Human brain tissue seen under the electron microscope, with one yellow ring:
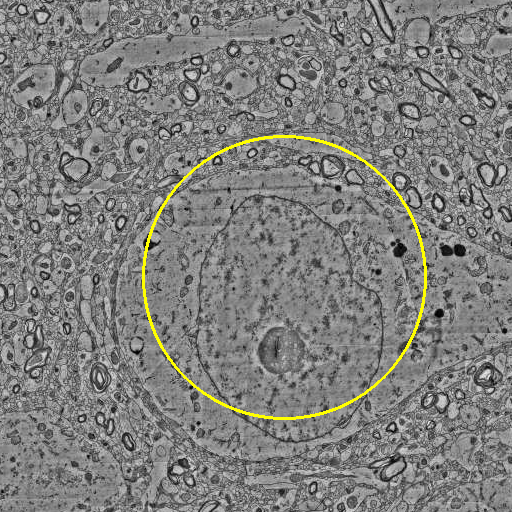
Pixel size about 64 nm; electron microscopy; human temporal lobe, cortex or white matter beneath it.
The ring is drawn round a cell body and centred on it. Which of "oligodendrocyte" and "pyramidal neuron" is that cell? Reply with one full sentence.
The picture shows a pyramidal neuron at the very centre of the yellow ring.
